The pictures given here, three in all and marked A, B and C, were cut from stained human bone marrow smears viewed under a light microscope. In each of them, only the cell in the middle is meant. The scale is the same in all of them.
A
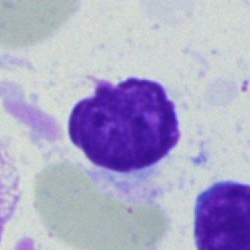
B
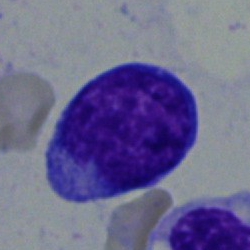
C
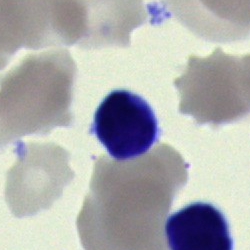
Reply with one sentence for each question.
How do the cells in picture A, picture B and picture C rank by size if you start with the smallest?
Smallest first: C, A, B.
